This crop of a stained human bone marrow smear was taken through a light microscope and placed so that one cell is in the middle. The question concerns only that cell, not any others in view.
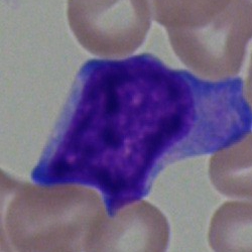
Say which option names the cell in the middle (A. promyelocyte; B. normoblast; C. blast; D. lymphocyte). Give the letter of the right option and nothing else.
C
